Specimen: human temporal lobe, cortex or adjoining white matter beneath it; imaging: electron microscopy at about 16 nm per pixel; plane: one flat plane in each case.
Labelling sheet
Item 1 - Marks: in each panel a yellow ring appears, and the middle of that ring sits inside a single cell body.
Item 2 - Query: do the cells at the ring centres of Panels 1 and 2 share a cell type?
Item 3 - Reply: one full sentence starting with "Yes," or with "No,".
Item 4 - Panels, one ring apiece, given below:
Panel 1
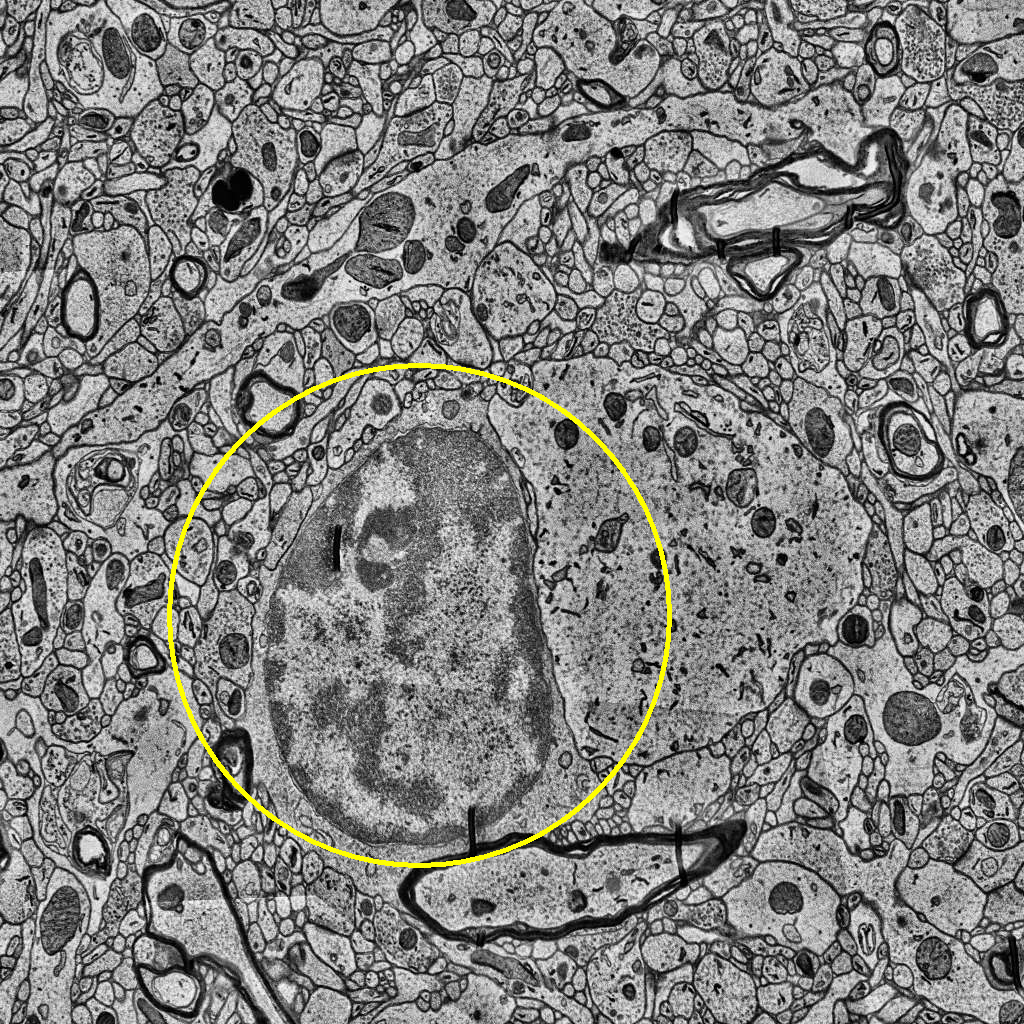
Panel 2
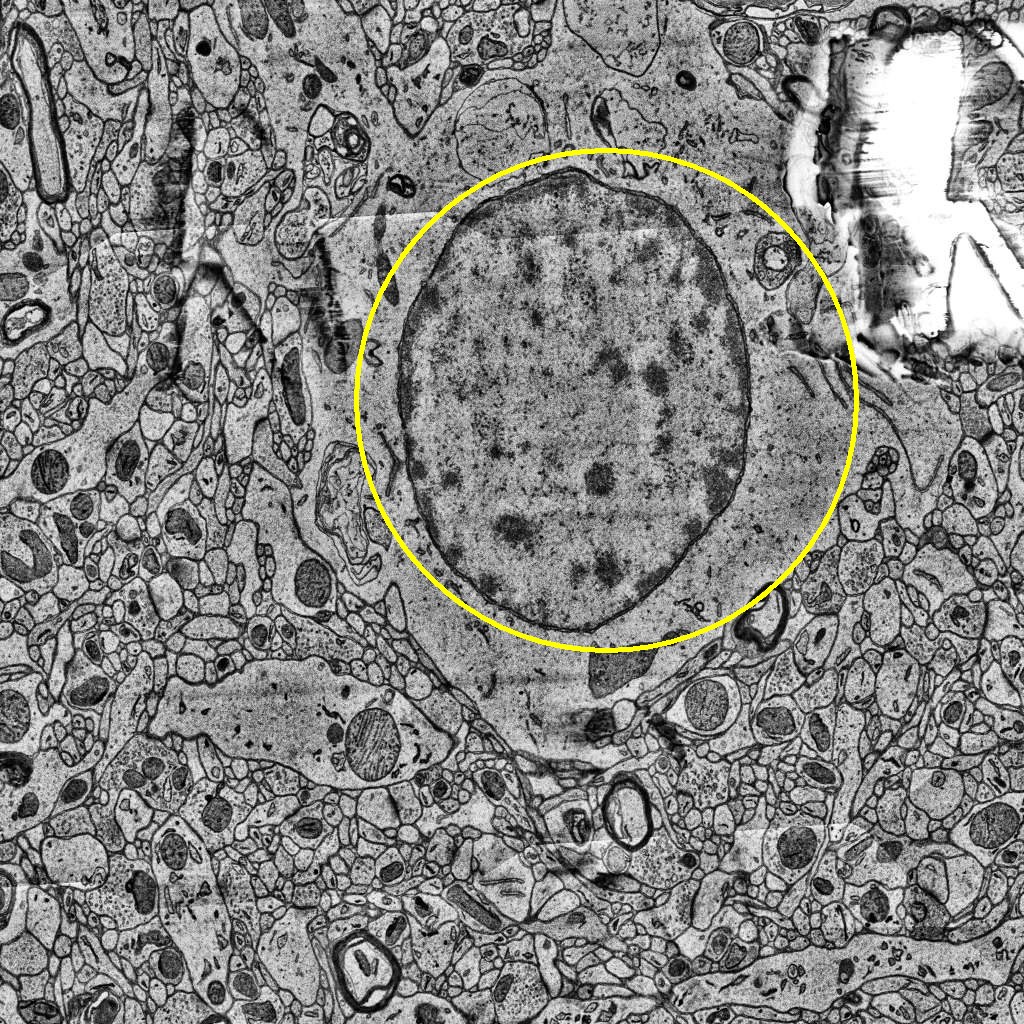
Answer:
No, Panel 1 and Panel 2 show two cell types at the centres of their rings.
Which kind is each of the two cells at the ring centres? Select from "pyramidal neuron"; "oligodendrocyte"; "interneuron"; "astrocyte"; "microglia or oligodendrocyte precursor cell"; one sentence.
In the first picture it is an oligodendrocyte; in the second it is an astrocyte.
